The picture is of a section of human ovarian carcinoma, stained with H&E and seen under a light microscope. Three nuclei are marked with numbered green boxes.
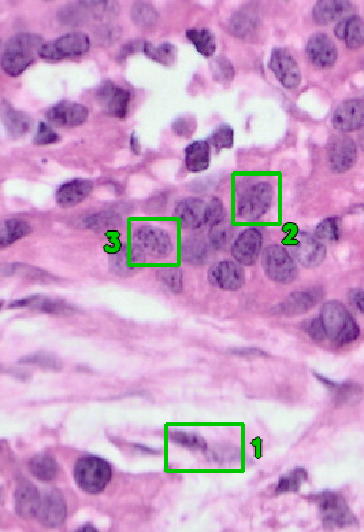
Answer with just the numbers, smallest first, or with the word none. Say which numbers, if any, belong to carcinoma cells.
2, 3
